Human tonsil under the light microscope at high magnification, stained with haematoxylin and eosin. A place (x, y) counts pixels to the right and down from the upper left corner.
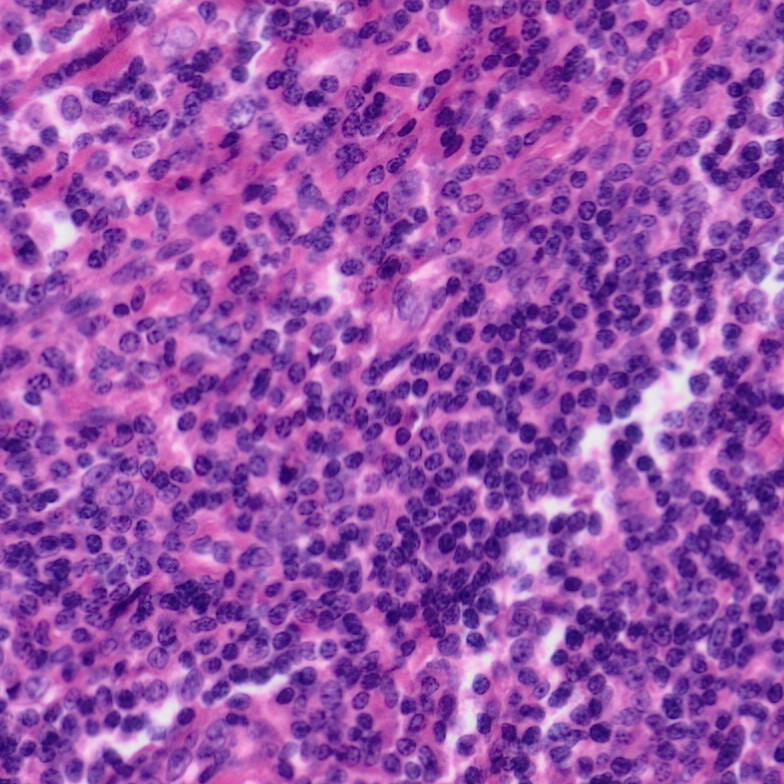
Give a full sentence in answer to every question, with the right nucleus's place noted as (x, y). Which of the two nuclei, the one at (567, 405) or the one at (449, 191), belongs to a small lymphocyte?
So, of the two, the nucleus at (567, 405) is the one belonging to a small lymphocyte.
